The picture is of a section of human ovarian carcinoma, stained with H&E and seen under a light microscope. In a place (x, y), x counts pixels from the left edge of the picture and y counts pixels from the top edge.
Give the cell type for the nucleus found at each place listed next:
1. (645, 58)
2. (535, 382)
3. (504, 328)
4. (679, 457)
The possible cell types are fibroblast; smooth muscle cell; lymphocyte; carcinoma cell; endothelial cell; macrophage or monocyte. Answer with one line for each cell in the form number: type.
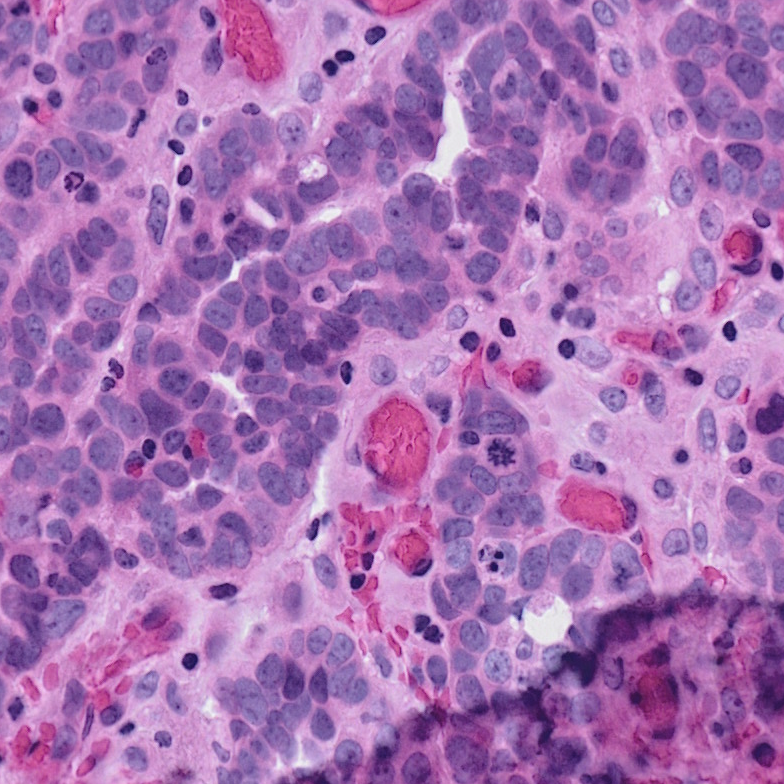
1: fibroblast
2: endothelial cell
3: lymphocyte
4: lymphocyte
